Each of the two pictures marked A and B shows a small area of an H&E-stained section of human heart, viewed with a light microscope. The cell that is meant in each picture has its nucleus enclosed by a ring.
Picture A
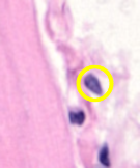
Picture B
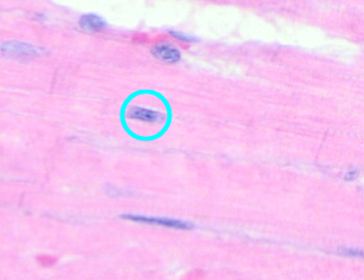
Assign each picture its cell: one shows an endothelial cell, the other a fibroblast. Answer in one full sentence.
In picture A the cell is a fibroblast; in picture B, an endothelial cell.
